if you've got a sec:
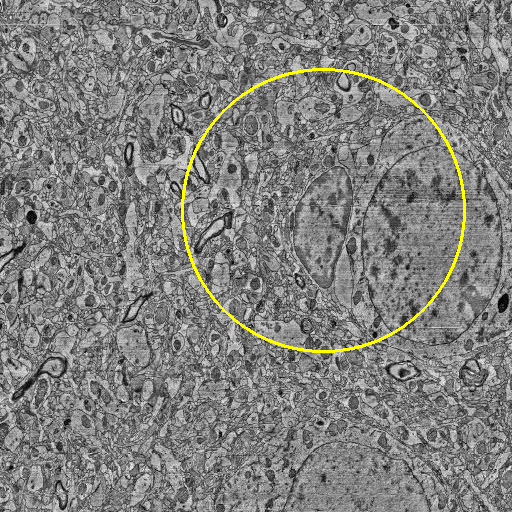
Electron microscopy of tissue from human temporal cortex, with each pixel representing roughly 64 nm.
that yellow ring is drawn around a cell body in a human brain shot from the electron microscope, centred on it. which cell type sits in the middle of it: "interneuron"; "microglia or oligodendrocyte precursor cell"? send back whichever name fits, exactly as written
microglia or oligodendrocyte precursor cell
